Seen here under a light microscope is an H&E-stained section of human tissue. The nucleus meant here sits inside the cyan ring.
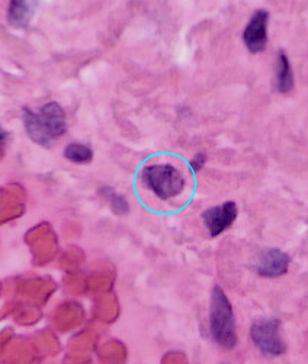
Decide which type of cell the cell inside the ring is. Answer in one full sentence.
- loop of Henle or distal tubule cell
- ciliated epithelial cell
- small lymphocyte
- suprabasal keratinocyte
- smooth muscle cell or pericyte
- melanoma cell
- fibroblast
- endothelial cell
It is as a fibroblast that the cell inside the ring is recorded.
